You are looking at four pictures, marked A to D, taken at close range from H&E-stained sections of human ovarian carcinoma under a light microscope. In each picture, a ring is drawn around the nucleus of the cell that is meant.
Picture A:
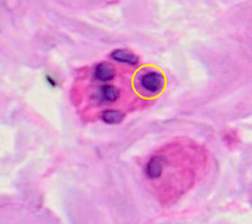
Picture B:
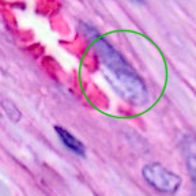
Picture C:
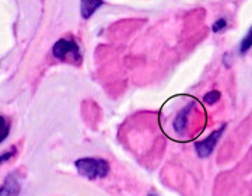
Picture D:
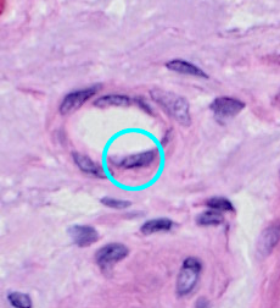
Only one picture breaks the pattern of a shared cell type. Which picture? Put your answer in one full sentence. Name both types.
The others show endothelial cells, but picture A shows a smooth muscle cell.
